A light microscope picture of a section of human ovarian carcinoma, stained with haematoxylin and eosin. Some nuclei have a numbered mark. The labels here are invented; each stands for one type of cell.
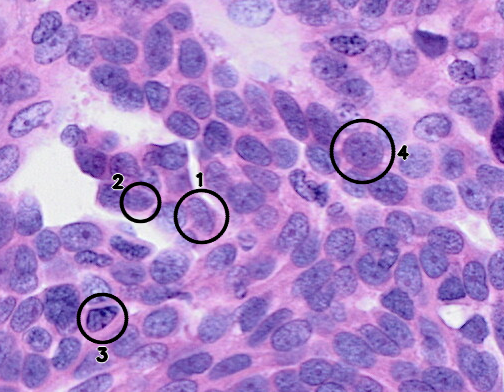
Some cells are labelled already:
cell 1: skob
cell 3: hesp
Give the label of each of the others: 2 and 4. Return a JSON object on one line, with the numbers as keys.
{"2": "skob", "4": "skob"}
